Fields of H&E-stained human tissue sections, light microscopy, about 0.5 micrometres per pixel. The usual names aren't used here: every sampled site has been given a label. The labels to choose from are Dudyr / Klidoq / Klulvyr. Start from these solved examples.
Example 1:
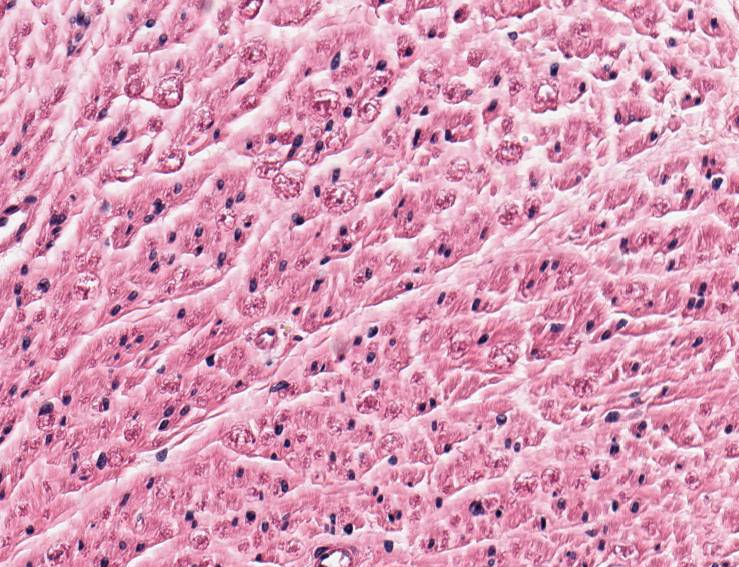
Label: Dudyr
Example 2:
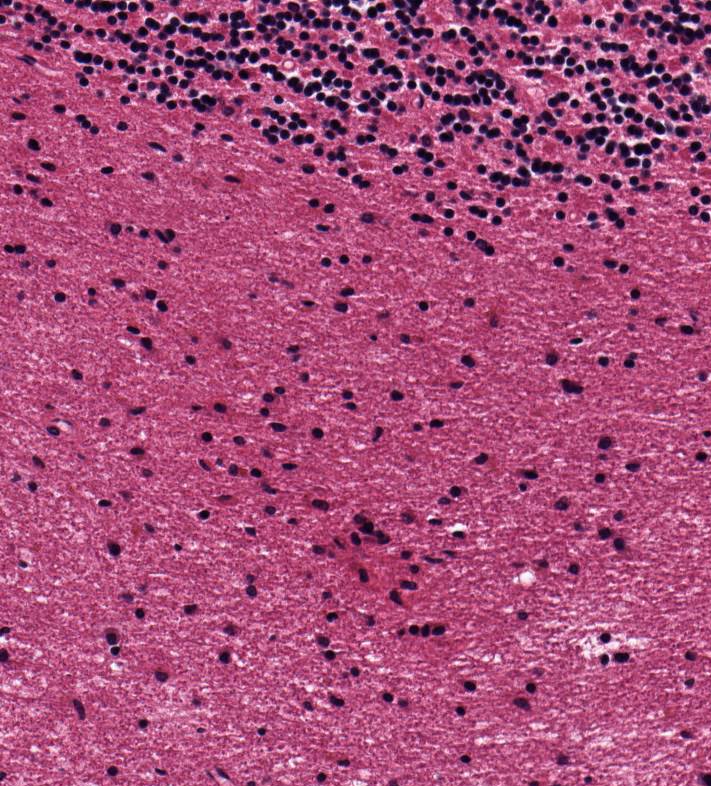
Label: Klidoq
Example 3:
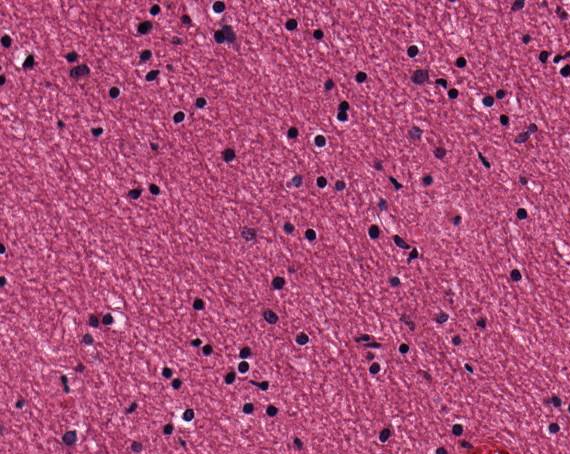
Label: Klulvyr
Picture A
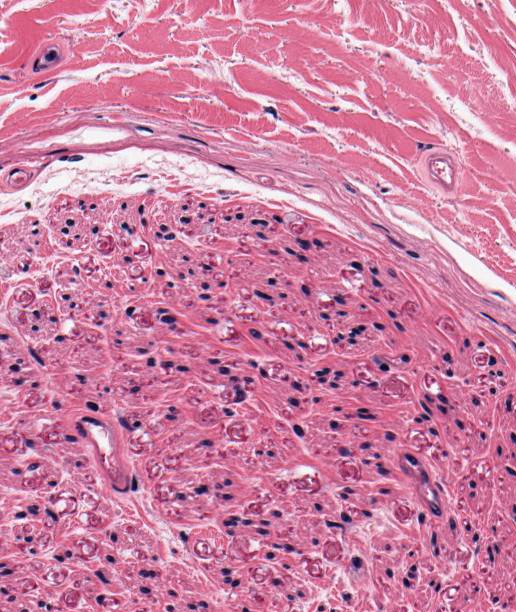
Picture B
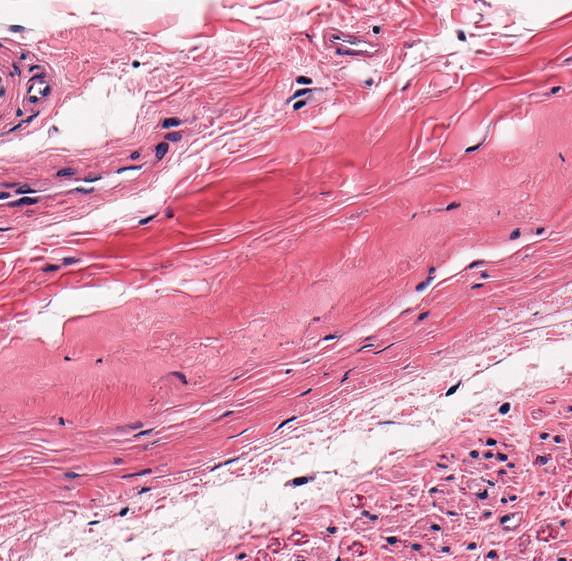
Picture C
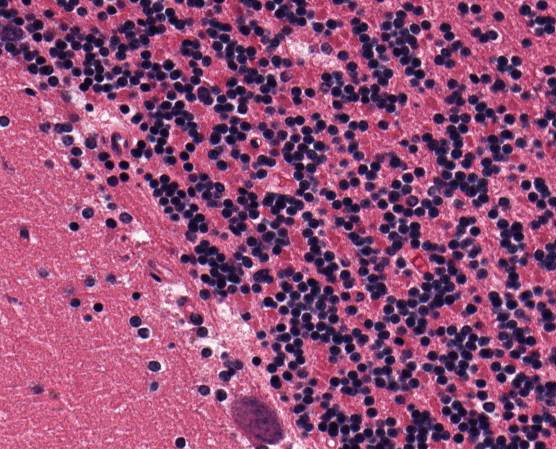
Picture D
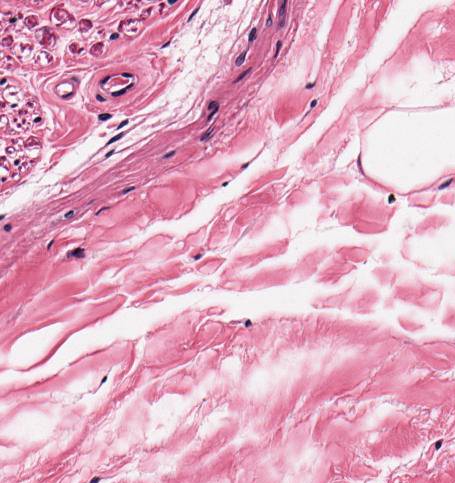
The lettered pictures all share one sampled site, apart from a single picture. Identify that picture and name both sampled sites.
Exception: C, showing Klidoq. Remaining pictures: Dudyr.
